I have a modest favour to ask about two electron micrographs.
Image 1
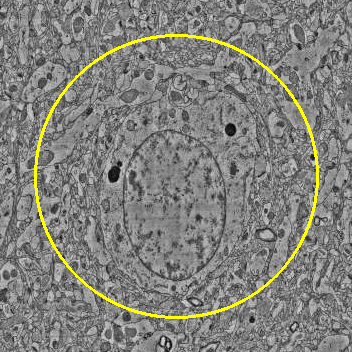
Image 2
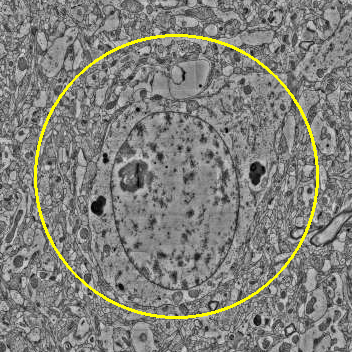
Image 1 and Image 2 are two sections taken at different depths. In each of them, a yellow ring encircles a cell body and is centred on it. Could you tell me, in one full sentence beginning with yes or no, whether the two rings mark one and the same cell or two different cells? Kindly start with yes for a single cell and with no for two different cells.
Yes, the cell inside the first ring is the cell inside the second.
